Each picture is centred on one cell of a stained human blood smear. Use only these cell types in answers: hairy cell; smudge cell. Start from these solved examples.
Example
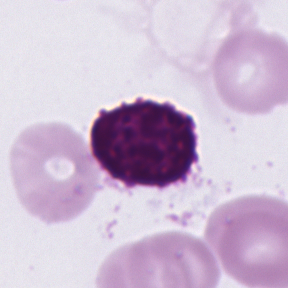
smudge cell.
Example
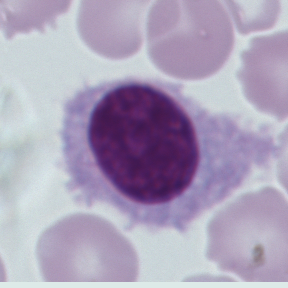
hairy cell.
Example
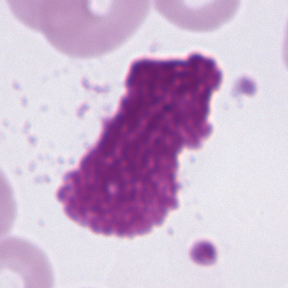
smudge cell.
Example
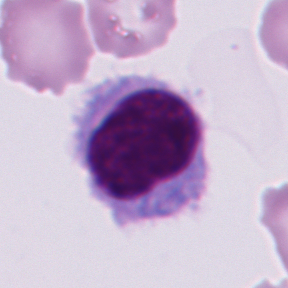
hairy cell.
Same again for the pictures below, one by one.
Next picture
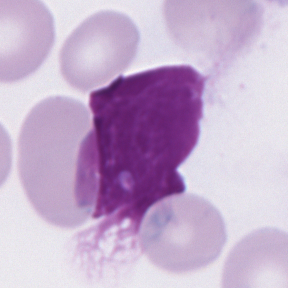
smudge cell.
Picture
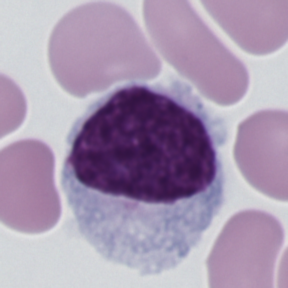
hairy cell.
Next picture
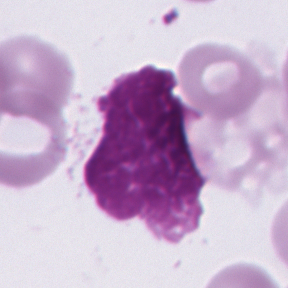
smudge cell.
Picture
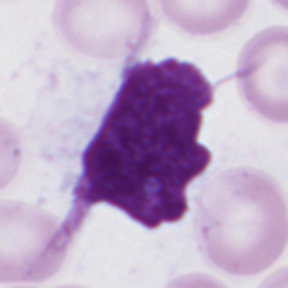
smudge cell.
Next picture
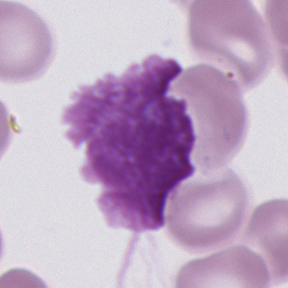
smudge cell.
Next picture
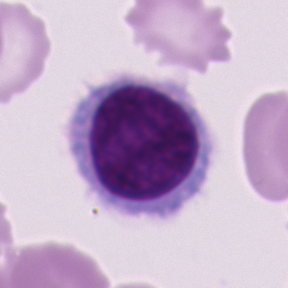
hairy cell.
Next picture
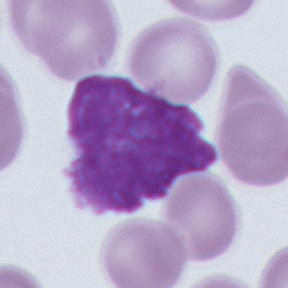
smudge cell.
